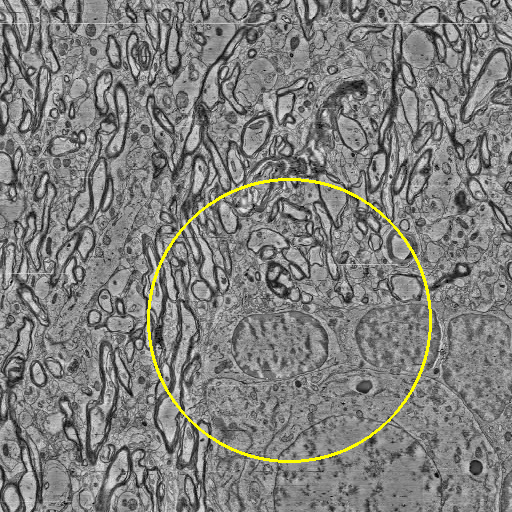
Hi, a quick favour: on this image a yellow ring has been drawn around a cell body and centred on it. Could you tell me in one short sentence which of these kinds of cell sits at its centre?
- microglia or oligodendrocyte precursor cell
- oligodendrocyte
The ring is centred on a microglial cell or oligodendrocyte precursor cell.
